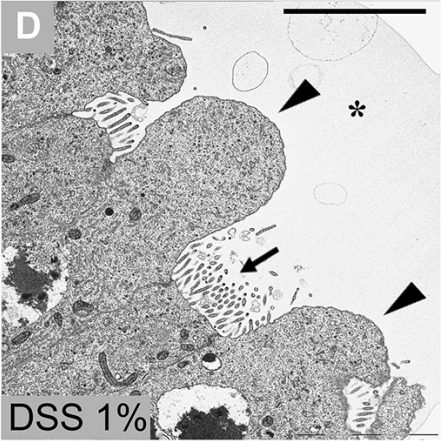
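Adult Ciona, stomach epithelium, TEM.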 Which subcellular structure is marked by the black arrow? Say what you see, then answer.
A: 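A cluster of slender finger-like projections, many cut in cross-section, lies between two bulges. On this evidence: microvilli.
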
